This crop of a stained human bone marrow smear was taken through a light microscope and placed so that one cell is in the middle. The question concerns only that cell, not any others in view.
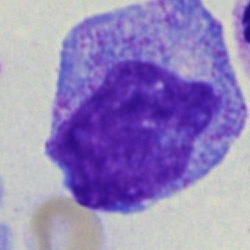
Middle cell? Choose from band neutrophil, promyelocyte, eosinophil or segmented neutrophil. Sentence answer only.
In the center of this field lies a promyelocyte.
